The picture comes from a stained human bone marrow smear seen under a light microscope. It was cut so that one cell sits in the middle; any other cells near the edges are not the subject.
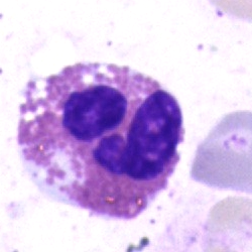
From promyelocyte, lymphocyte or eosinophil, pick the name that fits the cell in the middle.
eosinophil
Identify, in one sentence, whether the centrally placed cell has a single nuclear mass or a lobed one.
Two or more lobes make up the nucleus of this cell.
